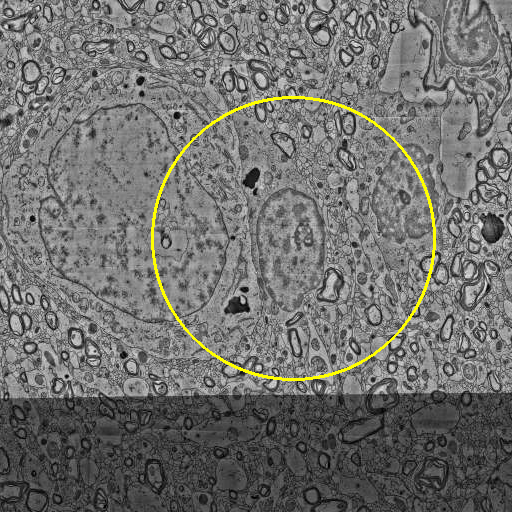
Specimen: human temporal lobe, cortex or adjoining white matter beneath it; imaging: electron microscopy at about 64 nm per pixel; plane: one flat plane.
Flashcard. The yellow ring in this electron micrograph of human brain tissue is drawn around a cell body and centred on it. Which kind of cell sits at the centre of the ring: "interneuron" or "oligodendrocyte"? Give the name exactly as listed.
oligodendrocyte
